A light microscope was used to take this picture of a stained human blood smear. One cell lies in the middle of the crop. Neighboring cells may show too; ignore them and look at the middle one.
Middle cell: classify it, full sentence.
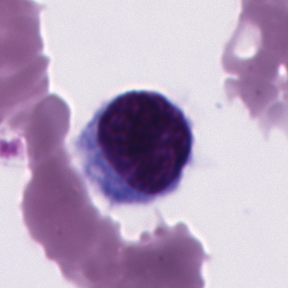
By type, the central cell of the crop is a hairy cell.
